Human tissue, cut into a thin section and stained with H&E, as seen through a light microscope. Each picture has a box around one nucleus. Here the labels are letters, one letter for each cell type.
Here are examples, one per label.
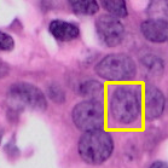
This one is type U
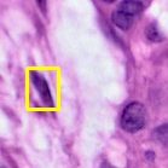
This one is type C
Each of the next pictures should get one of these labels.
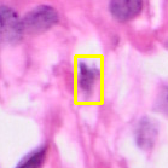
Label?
type C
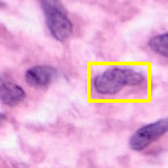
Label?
type C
